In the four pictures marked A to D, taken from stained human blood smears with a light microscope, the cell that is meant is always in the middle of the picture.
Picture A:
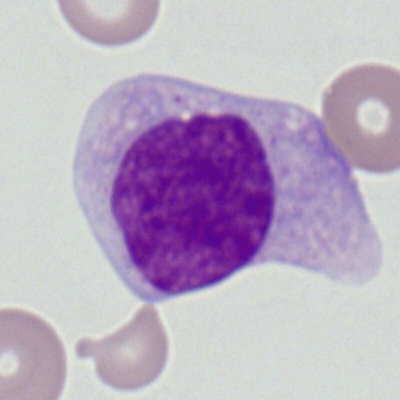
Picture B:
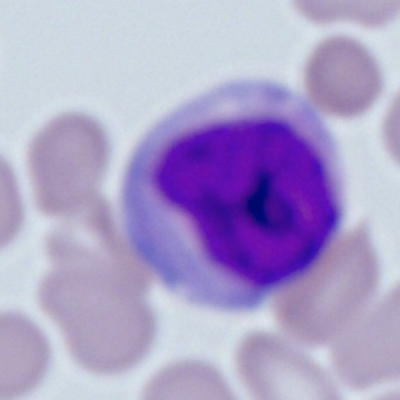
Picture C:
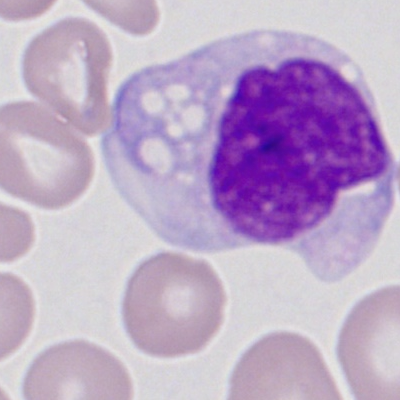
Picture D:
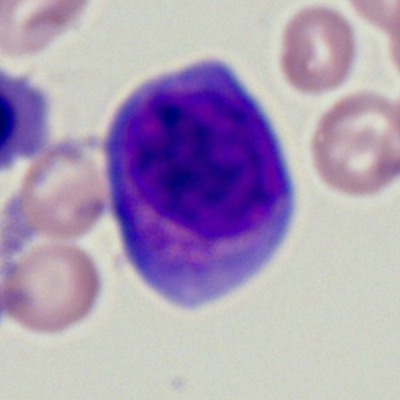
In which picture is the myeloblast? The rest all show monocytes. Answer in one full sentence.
It is picture D that shows the myeloblast.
